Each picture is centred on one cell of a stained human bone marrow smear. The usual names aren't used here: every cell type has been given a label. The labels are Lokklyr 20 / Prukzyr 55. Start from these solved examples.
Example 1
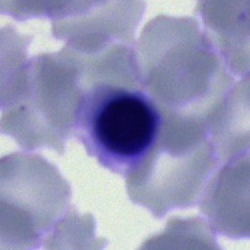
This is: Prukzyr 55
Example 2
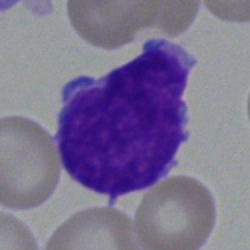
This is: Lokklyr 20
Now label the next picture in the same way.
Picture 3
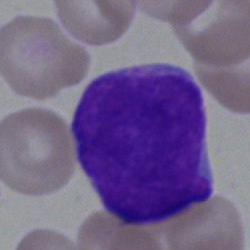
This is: Lokklyr 20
